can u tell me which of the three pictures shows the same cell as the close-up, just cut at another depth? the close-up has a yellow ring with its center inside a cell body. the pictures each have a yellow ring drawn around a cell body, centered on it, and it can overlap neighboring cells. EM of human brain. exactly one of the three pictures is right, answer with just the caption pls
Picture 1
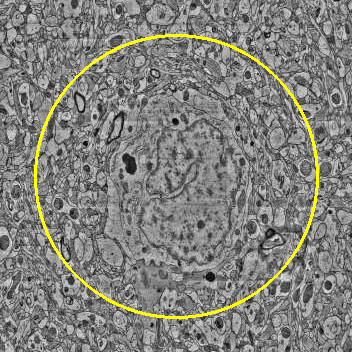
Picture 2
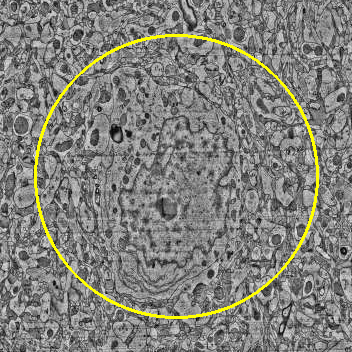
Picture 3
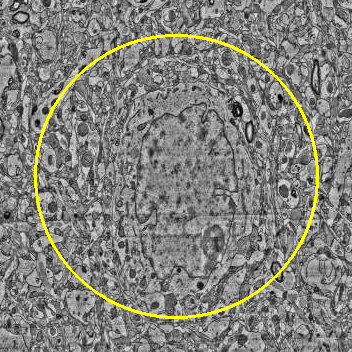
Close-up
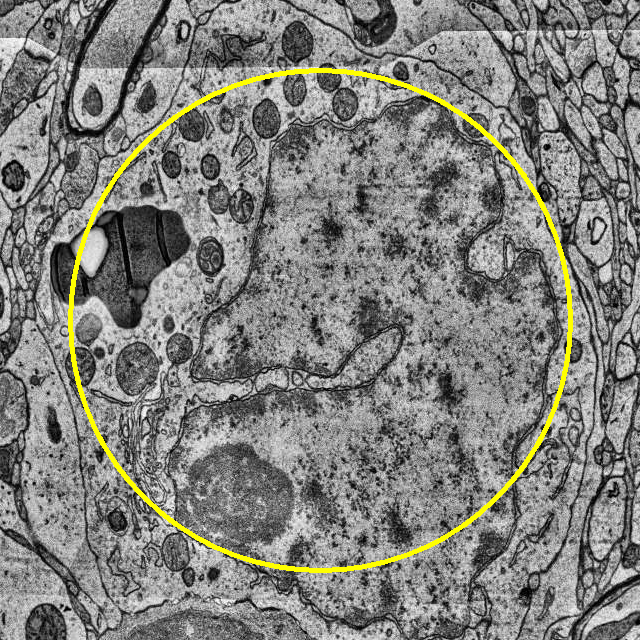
Picture 1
